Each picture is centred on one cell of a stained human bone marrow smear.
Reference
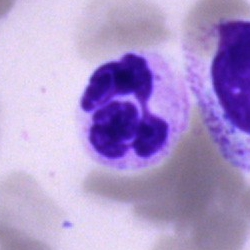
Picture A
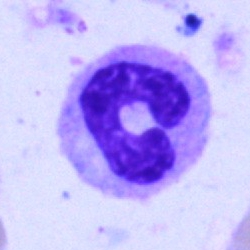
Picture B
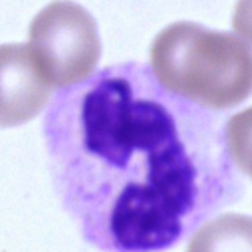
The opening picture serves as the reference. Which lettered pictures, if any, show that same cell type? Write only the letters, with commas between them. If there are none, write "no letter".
B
